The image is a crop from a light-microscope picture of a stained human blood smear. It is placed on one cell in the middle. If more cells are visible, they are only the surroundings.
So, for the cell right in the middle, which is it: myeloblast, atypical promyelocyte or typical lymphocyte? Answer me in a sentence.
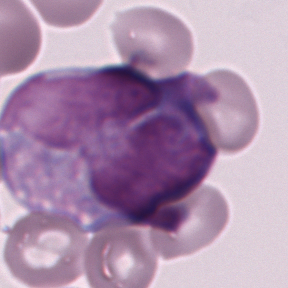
In the middle of this smear crop, the cell is an atypical promyelocyte.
